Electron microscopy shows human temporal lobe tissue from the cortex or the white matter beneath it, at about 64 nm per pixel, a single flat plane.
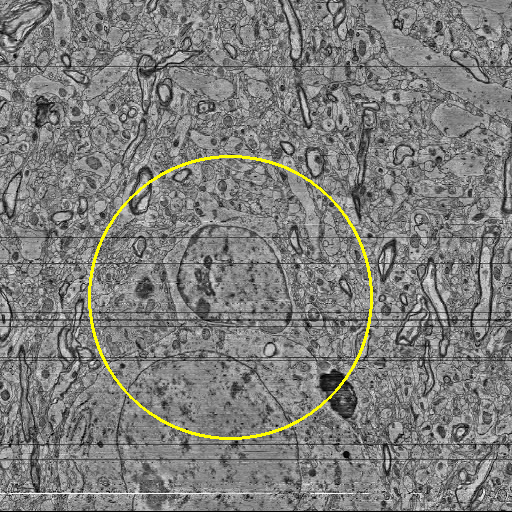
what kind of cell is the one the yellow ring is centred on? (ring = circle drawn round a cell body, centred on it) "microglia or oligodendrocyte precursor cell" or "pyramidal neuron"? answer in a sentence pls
The ring is drawn around a microglial cell or oligodendrocyte precursor cell.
